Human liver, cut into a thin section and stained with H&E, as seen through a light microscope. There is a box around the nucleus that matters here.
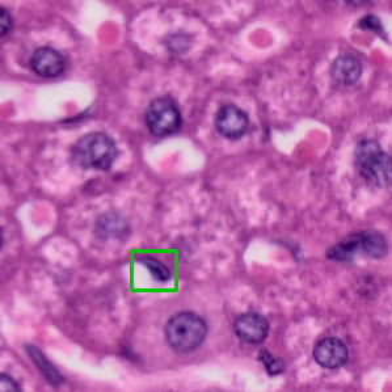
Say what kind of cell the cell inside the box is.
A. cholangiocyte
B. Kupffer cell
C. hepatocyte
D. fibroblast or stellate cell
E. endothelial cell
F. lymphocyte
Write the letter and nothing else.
E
